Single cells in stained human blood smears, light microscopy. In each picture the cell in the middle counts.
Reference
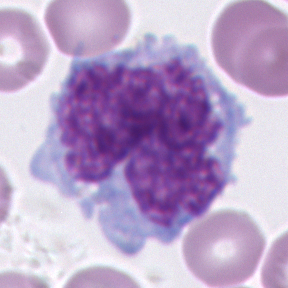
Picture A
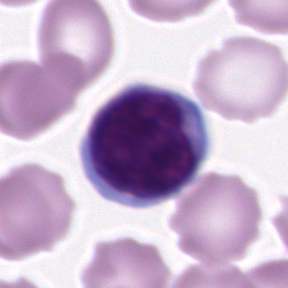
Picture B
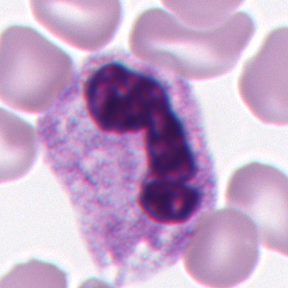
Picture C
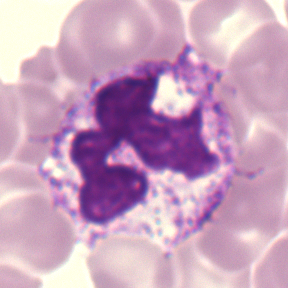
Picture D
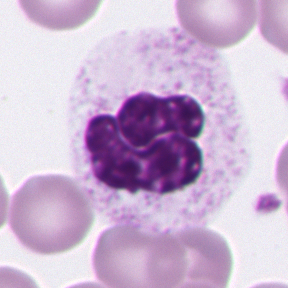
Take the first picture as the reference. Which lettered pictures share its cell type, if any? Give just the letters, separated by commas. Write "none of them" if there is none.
none of them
